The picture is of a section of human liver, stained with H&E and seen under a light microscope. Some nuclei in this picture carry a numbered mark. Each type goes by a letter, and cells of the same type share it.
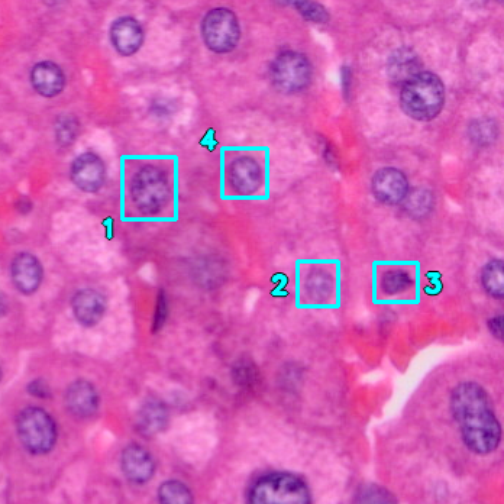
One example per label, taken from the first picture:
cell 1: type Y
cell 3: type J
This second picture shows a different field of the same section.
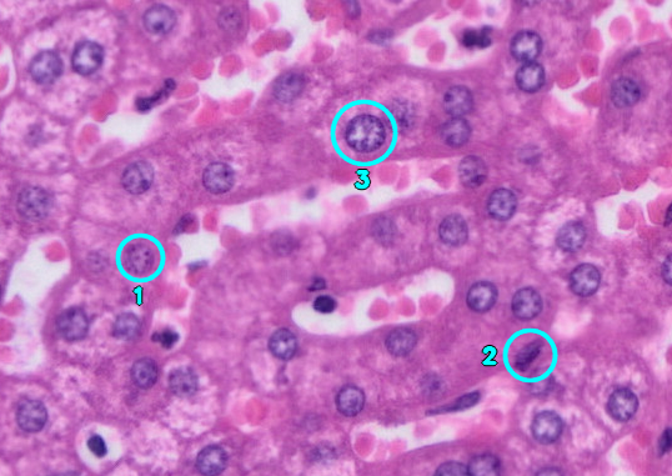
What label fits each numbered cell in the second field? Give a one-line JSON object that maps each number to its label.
{"1": "type Y", "2": "type J", "3": "type Y"}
